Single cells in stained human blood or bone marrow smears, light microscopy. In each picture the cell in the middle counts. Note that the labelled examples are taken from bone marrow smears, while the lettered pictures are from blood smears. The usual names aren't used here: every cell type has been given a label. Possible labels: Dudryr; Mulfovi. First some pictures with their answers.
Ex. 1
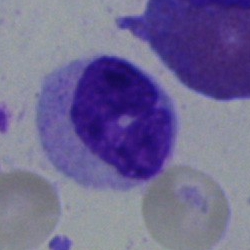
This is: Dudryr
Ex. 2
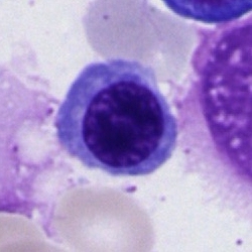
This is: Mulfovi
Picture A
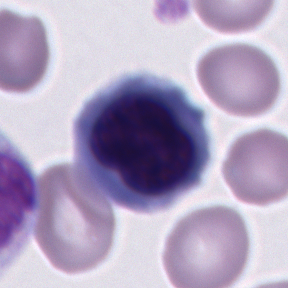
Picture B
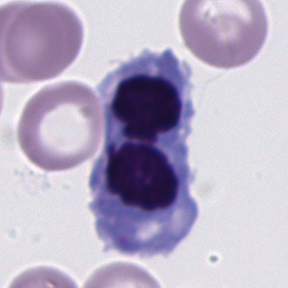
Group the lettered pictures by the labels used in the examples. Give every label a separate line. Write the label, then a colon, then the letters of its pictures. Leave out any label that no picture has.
Mulfovi: A, B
